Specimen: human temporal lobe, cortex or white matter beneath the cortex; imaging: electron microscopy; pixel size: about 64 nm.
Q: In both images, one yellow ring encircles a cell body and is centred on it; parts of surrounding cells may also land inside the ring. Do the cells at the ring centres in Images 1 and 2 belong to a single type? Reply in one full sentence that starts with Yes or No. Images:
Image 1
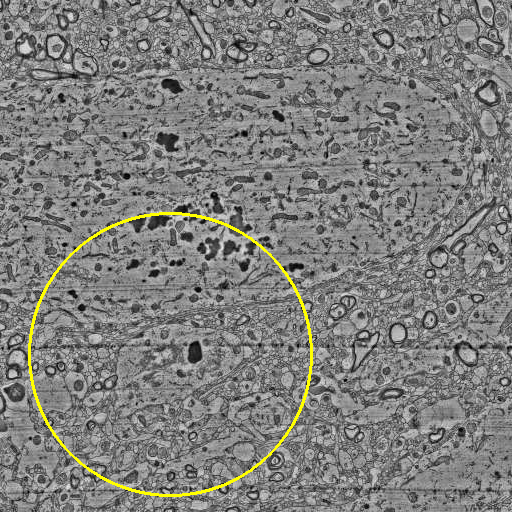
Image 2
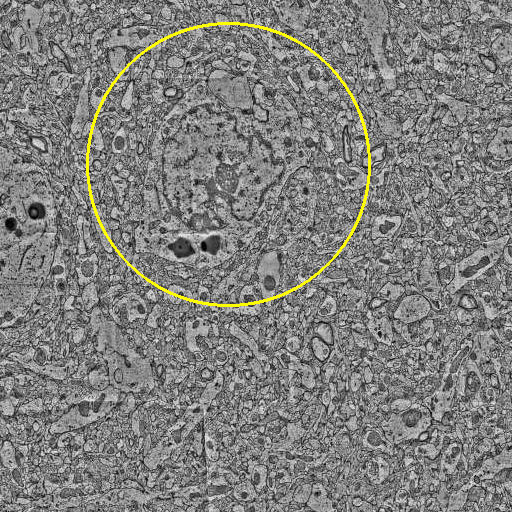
Yes, the cells at the ring centres in Images 1 and 2 are of a single type.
